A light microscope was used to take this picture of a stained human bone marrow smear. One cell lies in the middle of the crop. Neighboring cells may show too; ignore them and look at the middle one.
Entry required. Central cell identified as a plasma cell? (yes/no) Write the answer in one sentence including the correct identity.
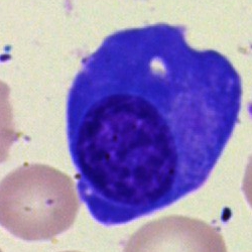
Yes, the cell at the heart of the crop is a plasma cell.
